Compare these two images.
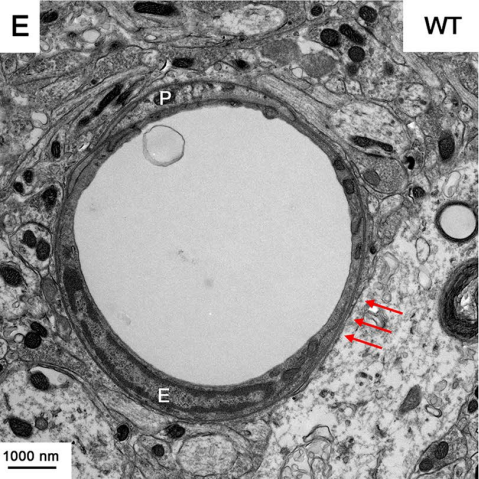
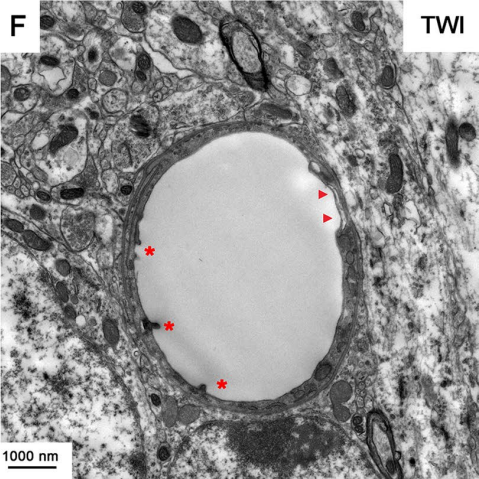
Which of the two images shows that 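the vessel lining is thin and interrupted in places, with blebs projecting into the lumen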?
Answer: The second image.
